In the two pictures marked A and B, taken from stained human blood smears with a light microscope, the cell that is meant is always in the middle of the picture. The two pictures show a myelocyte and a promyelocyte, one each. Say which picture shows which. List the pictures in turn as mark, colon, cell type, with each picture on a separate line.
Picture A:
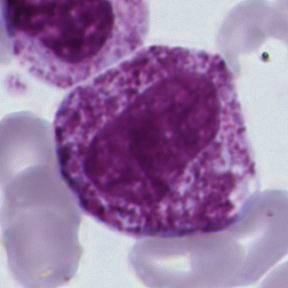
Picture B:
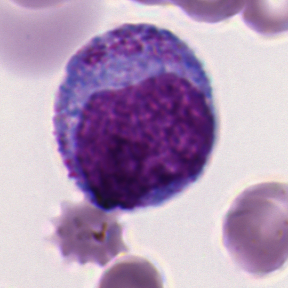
A: myelocyte
B: promyelocyte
